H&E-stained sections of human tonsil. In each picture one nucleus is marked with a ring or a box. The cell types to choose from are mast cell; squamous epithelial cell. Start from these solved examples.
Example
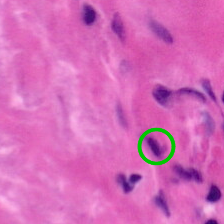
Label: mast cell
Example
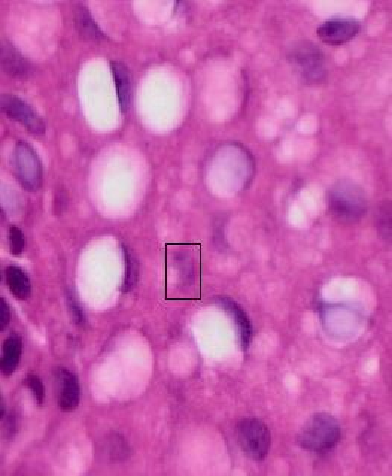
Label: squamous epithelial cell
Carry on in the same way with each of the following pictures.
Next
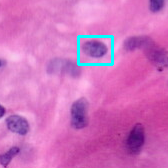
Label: mast cell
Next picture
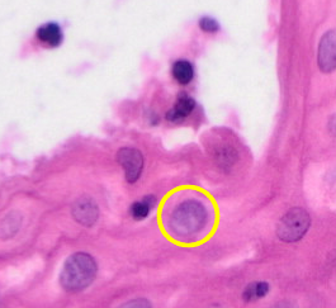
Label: squamous epithelial cell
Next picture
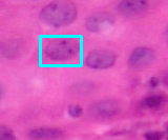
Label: squamous epithelial cell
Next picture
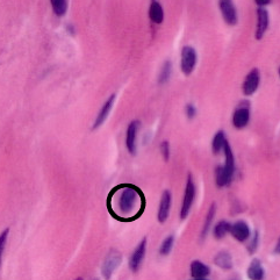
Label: mast cell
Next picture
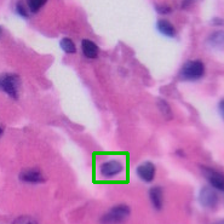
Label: mast cell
